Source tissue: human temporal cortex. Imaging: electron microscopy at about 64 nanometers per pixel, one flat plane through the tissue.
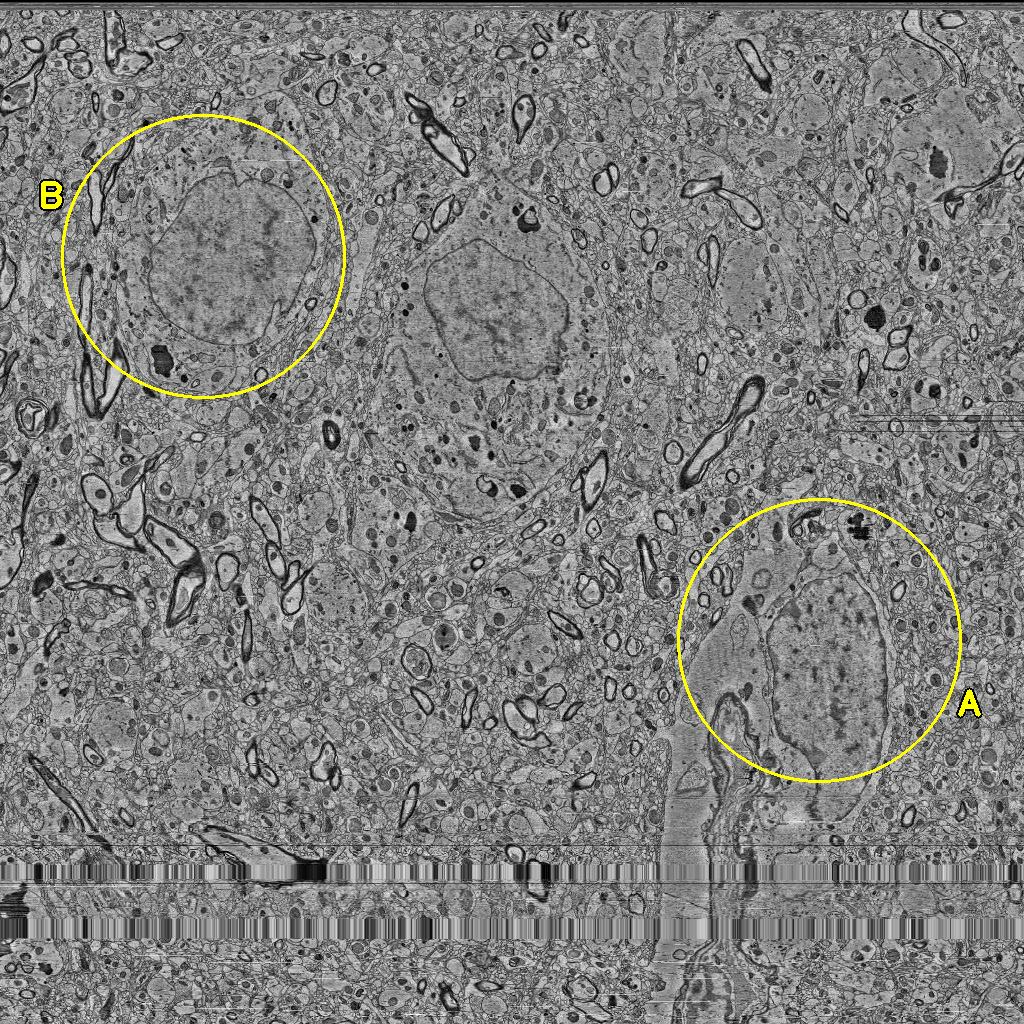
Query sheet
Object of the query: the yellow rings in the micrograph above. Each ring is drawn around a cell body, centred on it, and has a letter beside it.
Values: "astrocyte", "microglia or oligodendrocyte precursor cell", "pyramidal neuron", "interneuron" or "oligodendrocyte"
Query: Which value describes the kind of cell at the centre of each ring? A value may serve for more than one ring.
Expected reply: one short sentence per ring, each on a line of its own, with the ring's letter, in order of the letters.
I assign a microglial cell or oligodendrocyte precursor cell to ring A.
I assign a pyramidal neuron to ring B.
